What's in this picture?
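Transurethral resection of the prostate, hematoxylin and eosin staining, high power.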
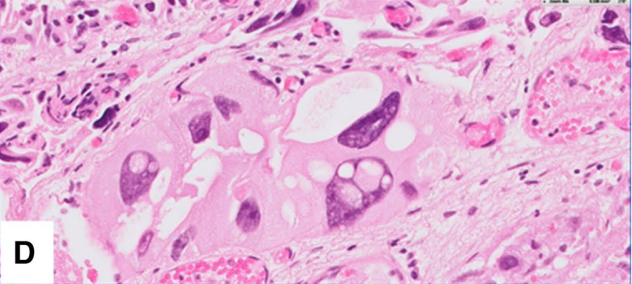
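Carcinoma cells of a pleomorphic giant cell carcinoma, seen up close, with markedly varying size and shape. Several giant cells carry huge, dark, irregular nuclei and pink cytoplasm, some with large clear vacuoles, lying in a loose stroma with small spindle and inflammatory cells and red blood cells at the edges.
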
